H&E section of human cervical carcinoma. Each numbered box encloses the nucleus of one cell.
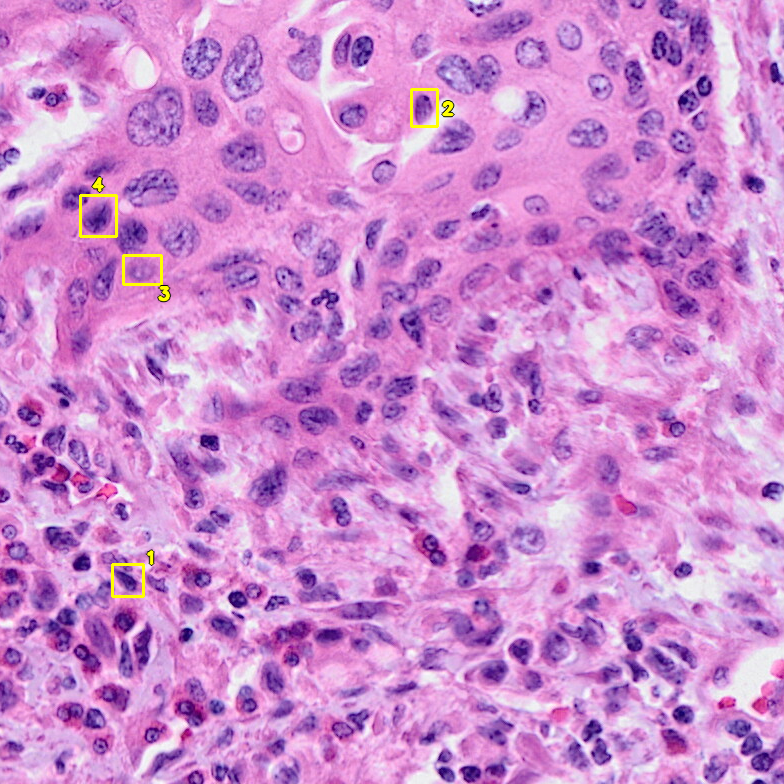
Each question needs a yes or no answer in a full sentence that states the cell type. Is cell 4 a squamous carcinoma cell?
Yes, it is a squamous carcinoma cell that carries the number 4.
